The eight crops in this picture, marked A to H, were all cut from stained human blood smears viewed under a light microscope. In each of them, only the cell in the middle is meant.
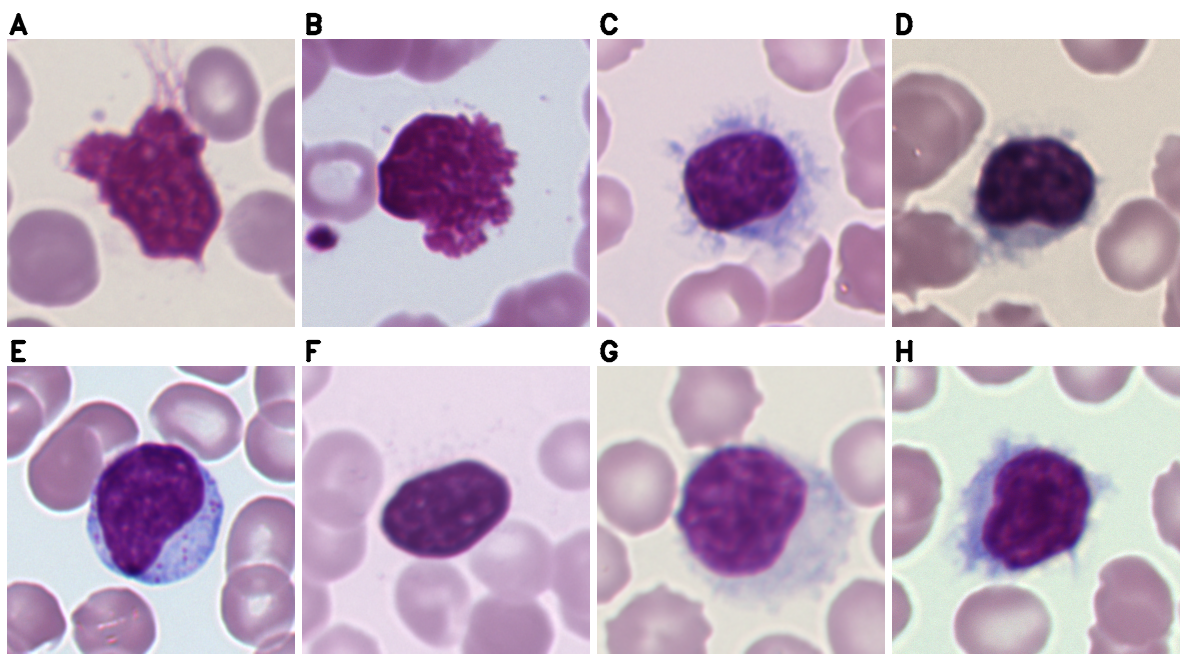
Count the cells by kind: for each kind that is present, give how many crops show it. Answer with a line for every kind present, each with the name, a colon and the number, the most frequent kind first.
hairy cell: 4
smudge cell: 3
large granular lymphocyte: 1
